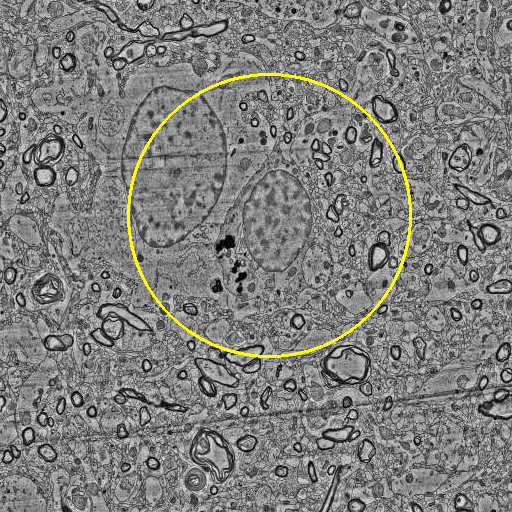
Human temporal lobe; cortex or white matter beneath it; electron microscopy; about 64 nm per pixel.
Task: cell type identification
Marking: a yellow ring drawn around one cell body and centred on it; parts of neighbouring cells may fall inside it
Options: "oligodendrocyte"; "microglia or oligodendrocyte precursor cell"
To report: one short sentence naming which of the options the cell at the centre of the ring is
The cell at the centre of the ring is an oligodendrocyte.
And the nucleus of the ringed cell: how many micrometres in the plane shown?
In this plane, approximately 6 by 4 micrometers.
